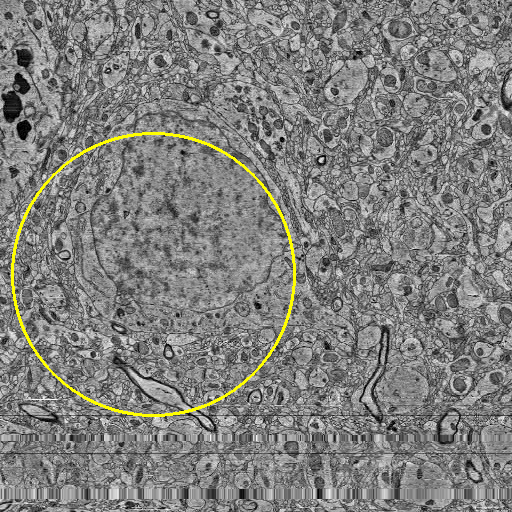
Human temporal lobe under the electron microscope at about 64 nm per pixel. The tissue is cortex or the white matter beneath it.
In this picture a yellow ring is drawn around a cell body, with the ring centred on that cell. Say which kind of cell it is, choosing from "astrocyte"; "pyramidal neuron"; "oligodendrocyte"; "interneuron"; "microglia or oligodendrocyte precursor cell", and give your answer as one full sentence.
Here it is an interneuron that sits at the centre of the drawn yellow ring.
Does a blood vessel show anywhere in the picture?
No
